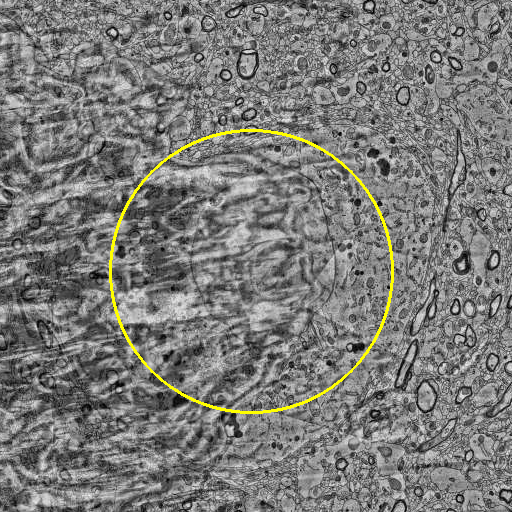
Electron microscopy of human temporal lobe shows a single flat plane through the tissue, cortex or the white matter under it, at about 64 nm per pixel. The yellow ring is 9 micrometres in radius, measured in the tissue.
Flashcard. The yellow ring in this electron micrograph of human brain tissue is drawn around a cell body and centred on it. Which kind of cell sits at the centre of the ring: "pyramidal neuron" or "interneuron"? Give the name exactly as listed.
pyramidal neuron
